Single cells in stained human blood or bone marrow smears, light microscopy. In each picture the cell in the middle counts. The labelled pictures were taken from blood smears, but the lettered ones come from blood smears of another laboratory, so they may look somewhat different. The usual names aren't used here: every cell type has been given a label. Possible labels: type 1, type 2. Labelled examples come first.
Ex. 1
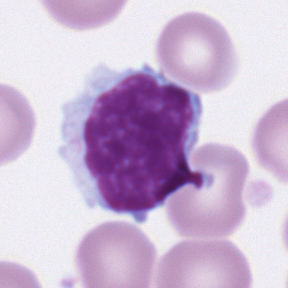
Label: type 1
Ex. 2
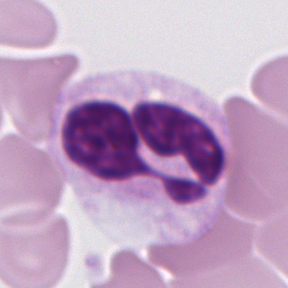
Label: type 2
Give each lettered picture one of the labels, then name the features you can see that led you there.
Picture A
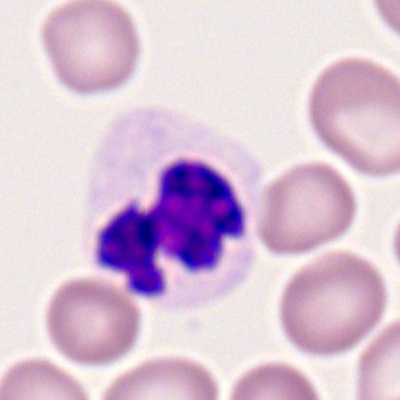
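type 2. Evidence: The nucleus has two lobes joined by a narrower middle part.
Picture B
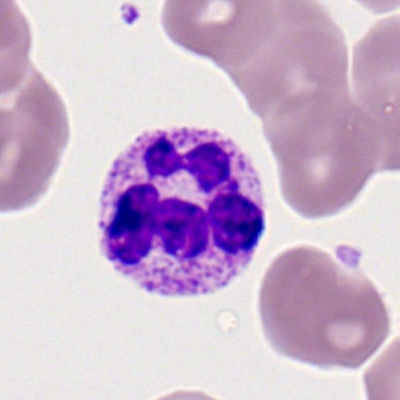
type 2. Evidence: The nucleus is divided into more than three separate lobes.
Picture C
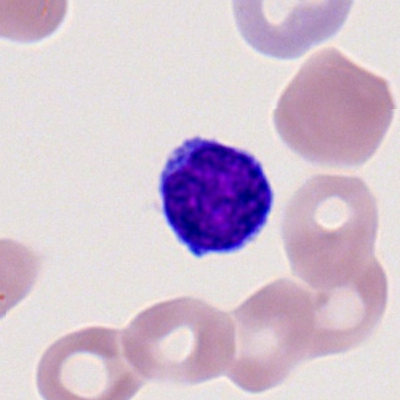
type 1. Evidence: The nucleus fills almost the whole cell, leaving at most a very thin rim of cytoplasm.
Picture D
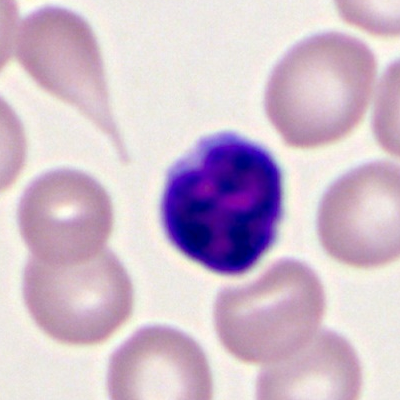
type 1. Evidence: The cytoplasm is a scant pale blue rim.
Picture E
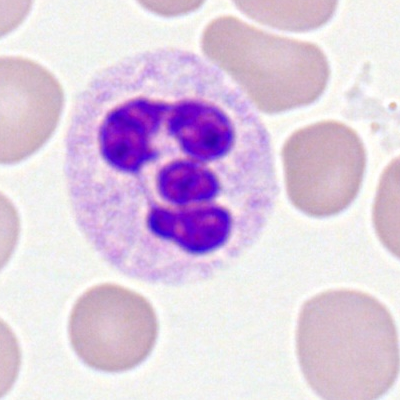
type 2. Evidence: The nucleus is divided into four separate lobes.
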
